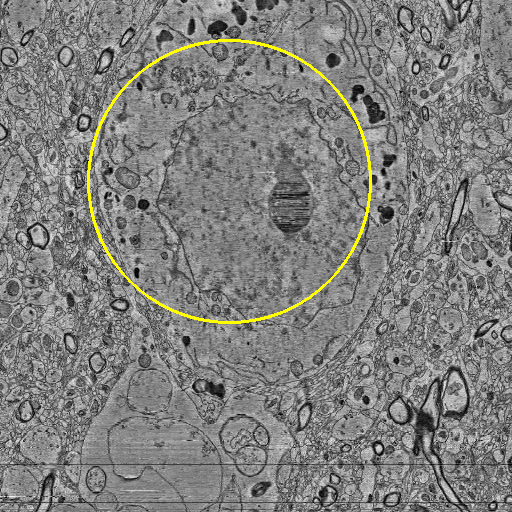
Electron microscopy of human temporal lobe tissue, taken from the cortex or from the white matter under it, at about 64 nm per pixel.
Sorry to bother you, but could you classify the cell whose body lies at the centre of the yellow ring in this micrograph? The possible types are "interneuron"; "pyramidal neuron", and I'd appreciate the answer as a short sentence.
The ringed cell body is that of a pyramidal neuron.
